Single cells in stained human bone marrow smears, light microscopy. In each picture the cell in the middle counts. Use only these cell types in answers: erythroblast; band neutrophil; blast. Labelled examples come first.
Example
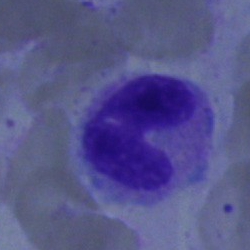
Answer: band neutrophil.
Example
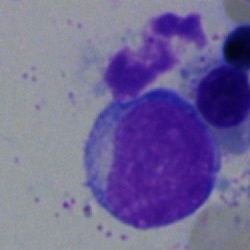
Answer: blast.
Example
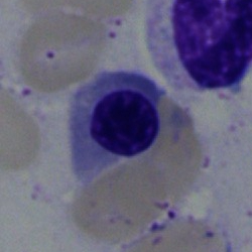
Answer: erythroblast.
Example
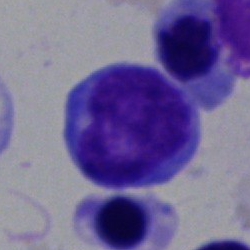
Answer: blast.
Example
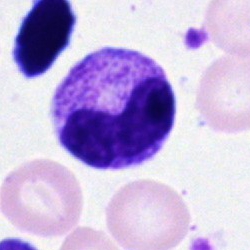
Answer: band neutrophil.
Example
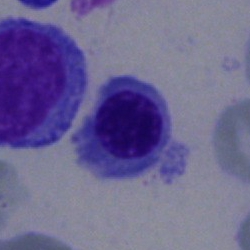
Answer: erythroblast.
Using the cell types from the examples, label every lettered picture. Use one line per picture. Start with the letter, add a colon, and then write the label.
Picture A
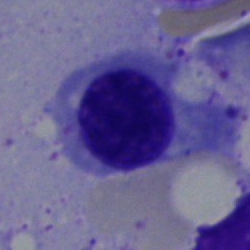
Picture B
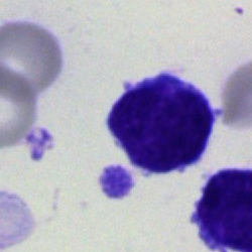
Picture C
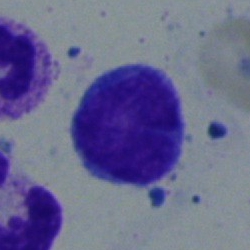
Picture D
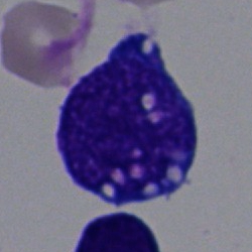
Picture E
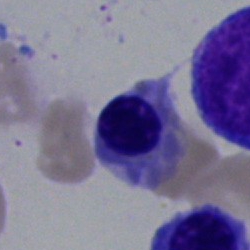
A: erythroblast.
B: blast.
C: blast.
D: blast.
E: erythroblast.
